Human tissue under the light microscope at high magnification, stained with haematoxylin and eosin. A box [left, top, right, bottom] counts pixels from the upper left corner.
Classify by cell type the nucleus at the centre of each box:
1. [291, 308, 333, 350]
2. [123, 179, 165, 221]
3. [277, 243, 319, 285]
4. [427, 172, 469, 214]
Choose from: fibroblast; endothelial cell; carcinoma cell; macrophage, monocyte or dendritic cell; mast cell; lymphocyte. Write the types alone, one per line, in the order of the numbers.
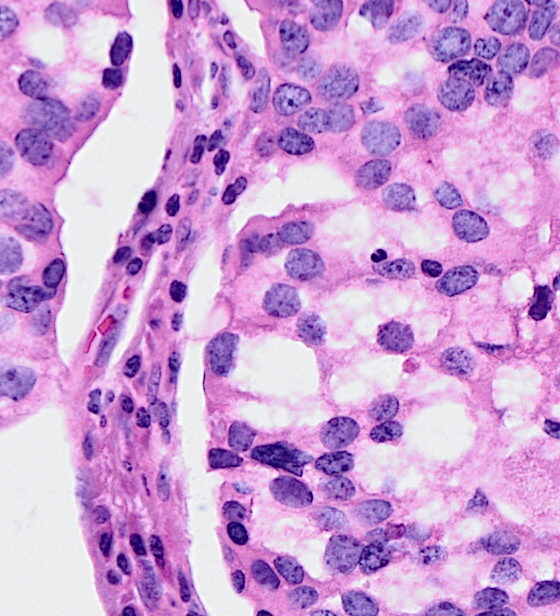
carcinoma cell
lymphocyte
carcinoma cell
carcinoma cell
